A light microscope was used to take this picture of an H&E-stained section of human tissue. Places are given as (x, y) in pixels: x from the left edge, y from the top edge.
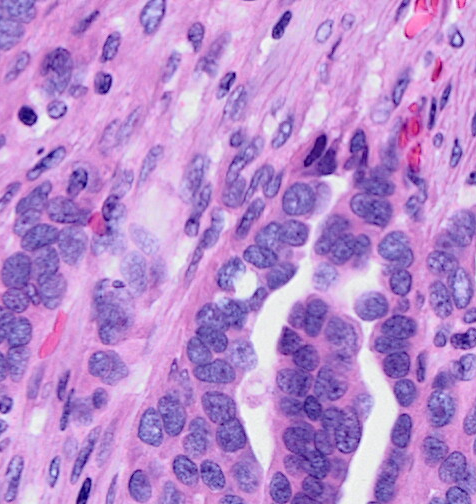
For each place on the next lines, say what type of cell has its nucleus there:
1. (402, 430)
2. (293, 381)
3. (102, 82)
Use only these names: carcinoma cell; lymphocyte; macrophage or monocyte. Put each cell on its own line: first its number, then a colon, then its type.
1: carcinoma cell
2: carcinoma cell
3: lymphocyte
